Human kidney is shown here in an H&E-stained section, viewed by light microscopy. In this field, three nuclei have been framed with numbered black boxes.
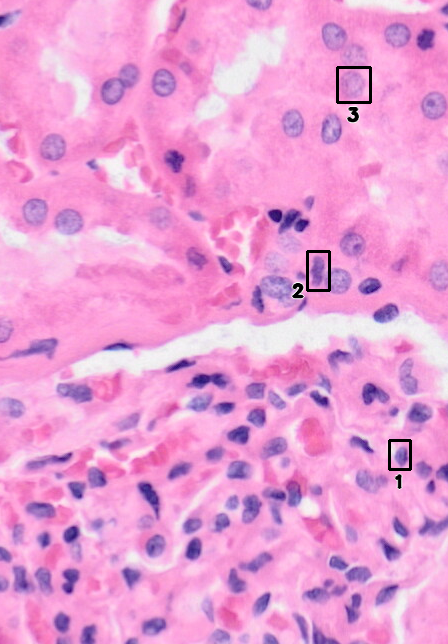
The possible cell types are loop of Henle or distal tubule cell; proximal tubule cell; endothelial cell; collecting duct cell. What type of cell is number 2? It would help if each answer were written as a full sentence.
Among the marked nuclei, number 2 belongs to a collecting duct cell.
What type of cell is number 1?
The cell pointed out by number 1 is an endothelial cell.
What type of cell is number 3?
The correct label for cell 3 is a proximal tubule cell.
